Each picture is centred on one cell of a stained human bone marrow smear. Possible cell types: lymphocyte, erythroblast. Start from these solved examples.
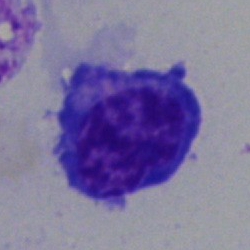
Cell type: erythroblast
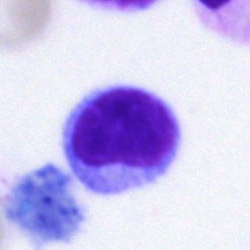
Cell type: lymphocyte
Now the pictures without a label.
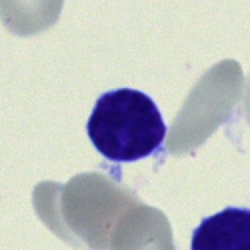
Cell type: lymphocyte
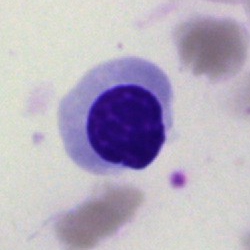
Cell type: erythroblast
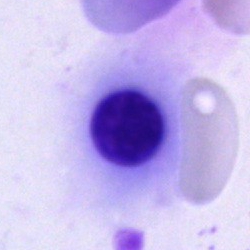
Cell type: erythroblast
